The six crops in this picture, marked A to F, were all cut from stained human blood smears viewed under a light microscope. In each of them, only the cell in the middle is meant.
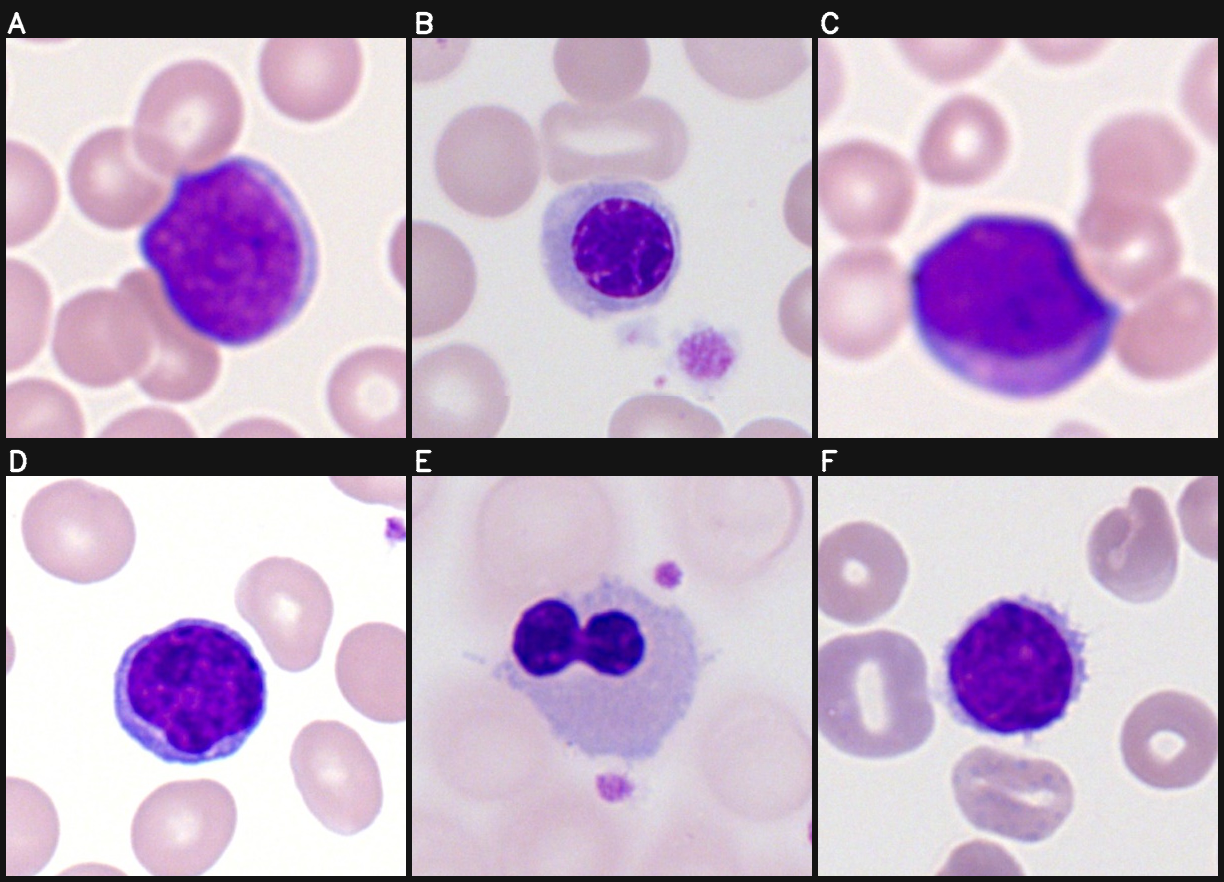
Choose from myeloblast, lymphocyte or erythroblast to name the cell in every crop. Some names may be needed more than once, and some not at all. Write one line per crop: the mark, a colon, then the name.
A: myeloblast
B: erythroblast
C: myeloblast
D: lymphocyte
E: erythroblast
F: lymphocyte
